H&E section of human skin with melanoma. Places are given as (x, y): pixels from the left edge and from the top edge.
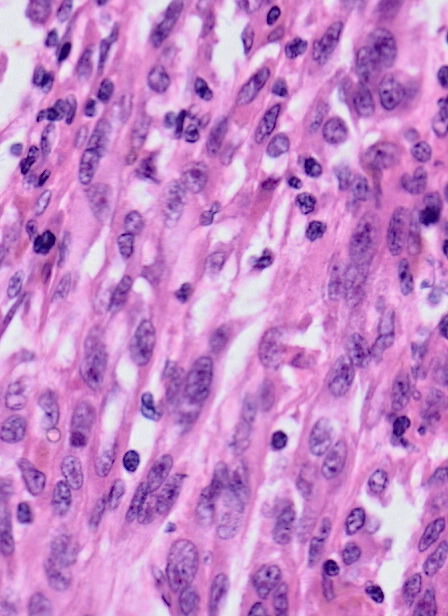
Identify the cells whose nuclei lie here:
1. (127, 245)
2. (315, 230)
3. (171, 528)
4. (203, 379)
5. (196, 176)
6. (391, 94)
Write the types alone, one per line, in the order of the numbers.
melanoma cell
lymphocyte
lymphocyte
melanoma cell
melanoma cell
melanoma cell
